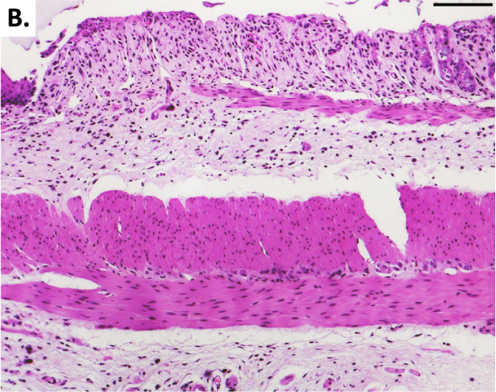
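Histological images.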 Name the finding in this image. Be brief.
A: Loss of crypts.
